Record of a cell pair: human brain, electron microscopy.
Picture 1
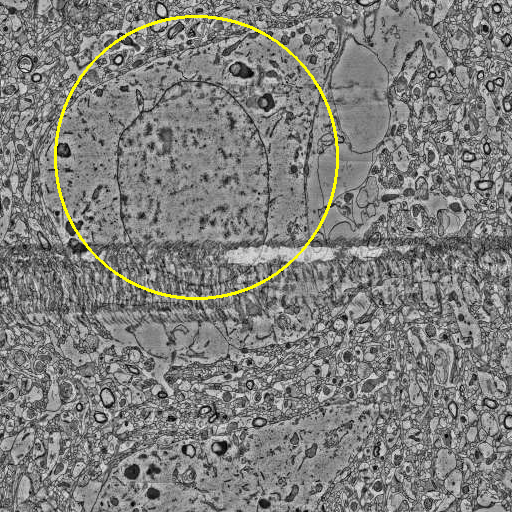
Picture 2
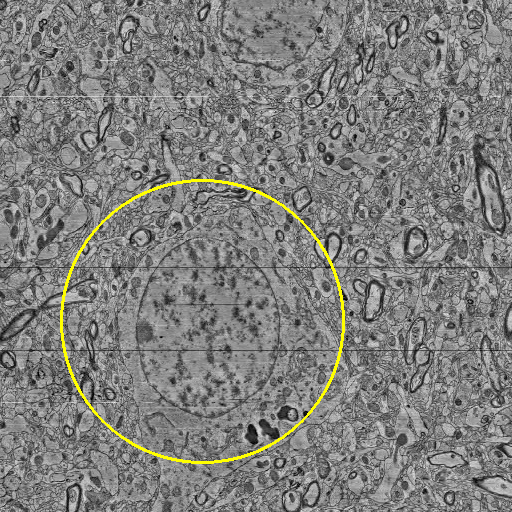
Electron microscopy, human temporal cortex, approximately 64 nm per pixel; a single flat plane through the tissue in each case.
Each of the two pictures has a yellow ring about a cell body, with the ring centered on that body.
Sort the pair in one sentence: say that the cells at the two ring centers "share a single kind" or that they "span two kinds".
The cells centered in the rings of Pictures 1 and 2 share a single kind.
